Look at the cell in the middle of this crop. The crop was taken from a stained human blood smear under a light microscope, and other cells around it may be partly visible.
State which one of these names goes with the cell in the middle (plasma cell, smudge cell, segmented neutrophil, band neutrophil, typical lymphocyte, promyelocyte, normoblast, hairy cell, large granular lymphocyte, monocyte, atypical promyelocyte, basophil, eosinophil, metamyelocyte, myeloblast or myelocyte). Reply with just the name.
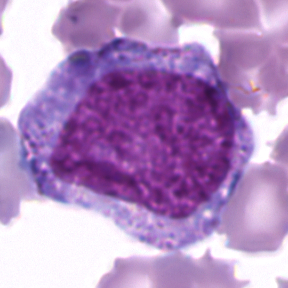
promyelocyte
